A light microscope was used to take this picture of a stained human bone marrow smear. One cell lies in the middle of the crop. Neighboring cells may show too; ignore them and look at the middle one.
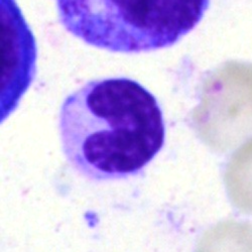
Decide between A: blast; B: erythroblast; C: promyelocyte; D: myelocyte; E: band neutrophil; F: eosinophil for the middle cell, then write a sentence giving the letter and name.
Option E is correct, naming the cell in the middle as a band neutrophil.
